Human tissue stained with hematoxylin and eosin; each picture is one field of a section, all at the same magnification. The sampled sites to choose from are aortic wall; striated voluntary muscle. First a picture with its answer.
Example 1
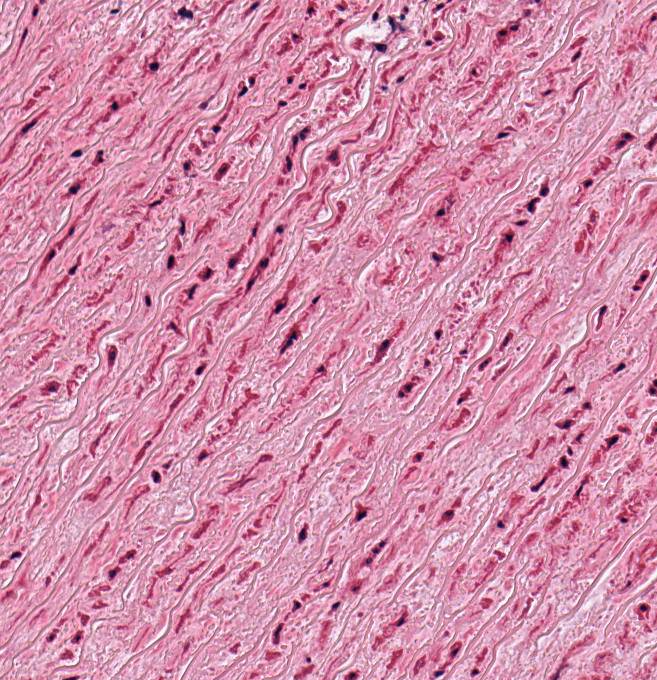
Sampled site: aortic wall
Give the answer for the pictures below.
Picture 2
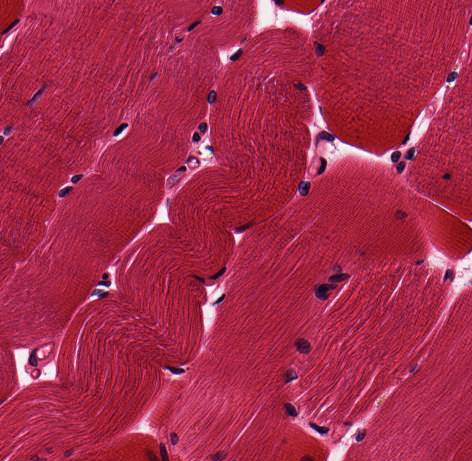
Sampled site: striated voluntary muscle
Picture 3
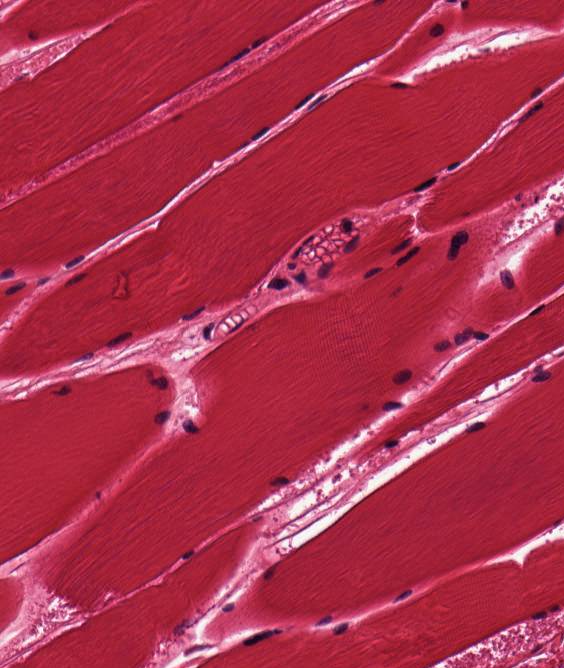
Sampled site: striated voluntary muscle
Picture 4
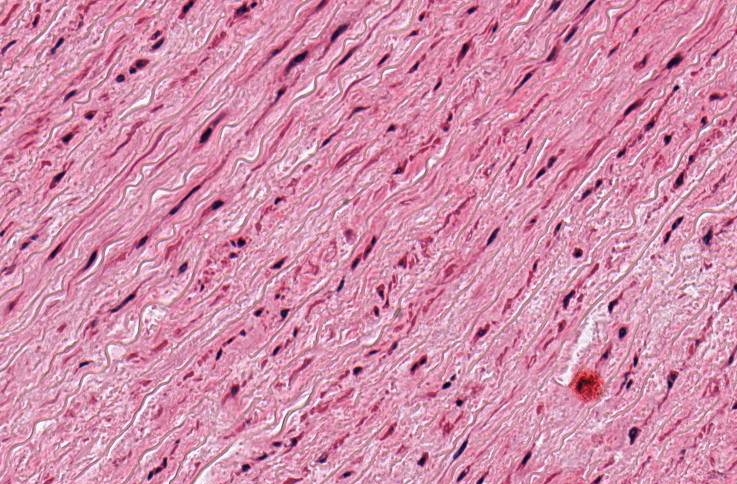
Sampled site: aortic wall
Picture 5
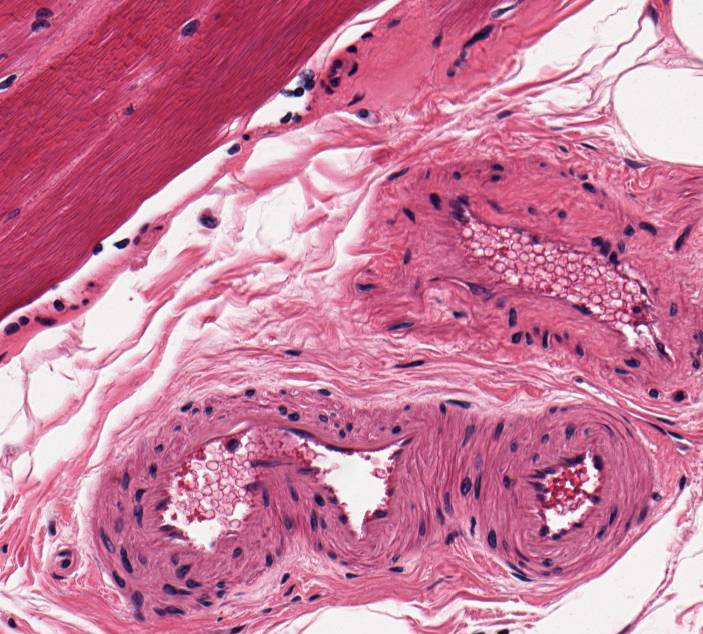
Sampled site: striated voluntary muscle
